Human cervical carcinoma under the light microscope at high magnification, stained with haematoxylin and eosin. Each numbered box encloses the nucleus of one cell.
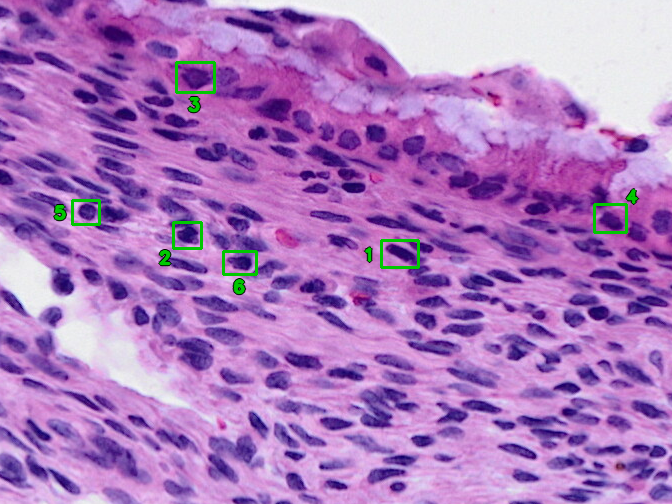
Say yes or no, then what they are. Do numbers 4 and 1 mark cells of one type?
No, cell 4 is a secretory epithelial cell, and cell 1, on the other hand, is a lymphocyte.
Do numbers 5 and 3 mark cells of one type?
No, hold on, cell 5 is a lymphocyte and cell 3 is a secretory epithelial cell.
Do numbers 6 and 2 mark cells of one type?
Yes, in the case of cells 6 and 2, both are lymphocytes.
